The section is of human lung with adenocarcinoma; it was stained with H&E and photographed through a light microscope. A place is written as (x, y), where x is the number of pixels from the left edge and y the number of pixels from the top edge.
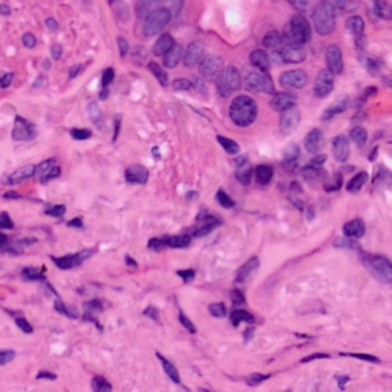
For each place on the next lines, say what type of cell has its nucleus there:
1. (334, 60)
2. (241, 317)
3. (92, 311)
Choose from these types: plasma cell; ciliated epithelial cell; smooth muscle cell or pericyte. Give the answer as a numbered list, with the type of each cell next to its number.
1. ciliated epithelial cell
2. plasma cell
3. plasma cell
